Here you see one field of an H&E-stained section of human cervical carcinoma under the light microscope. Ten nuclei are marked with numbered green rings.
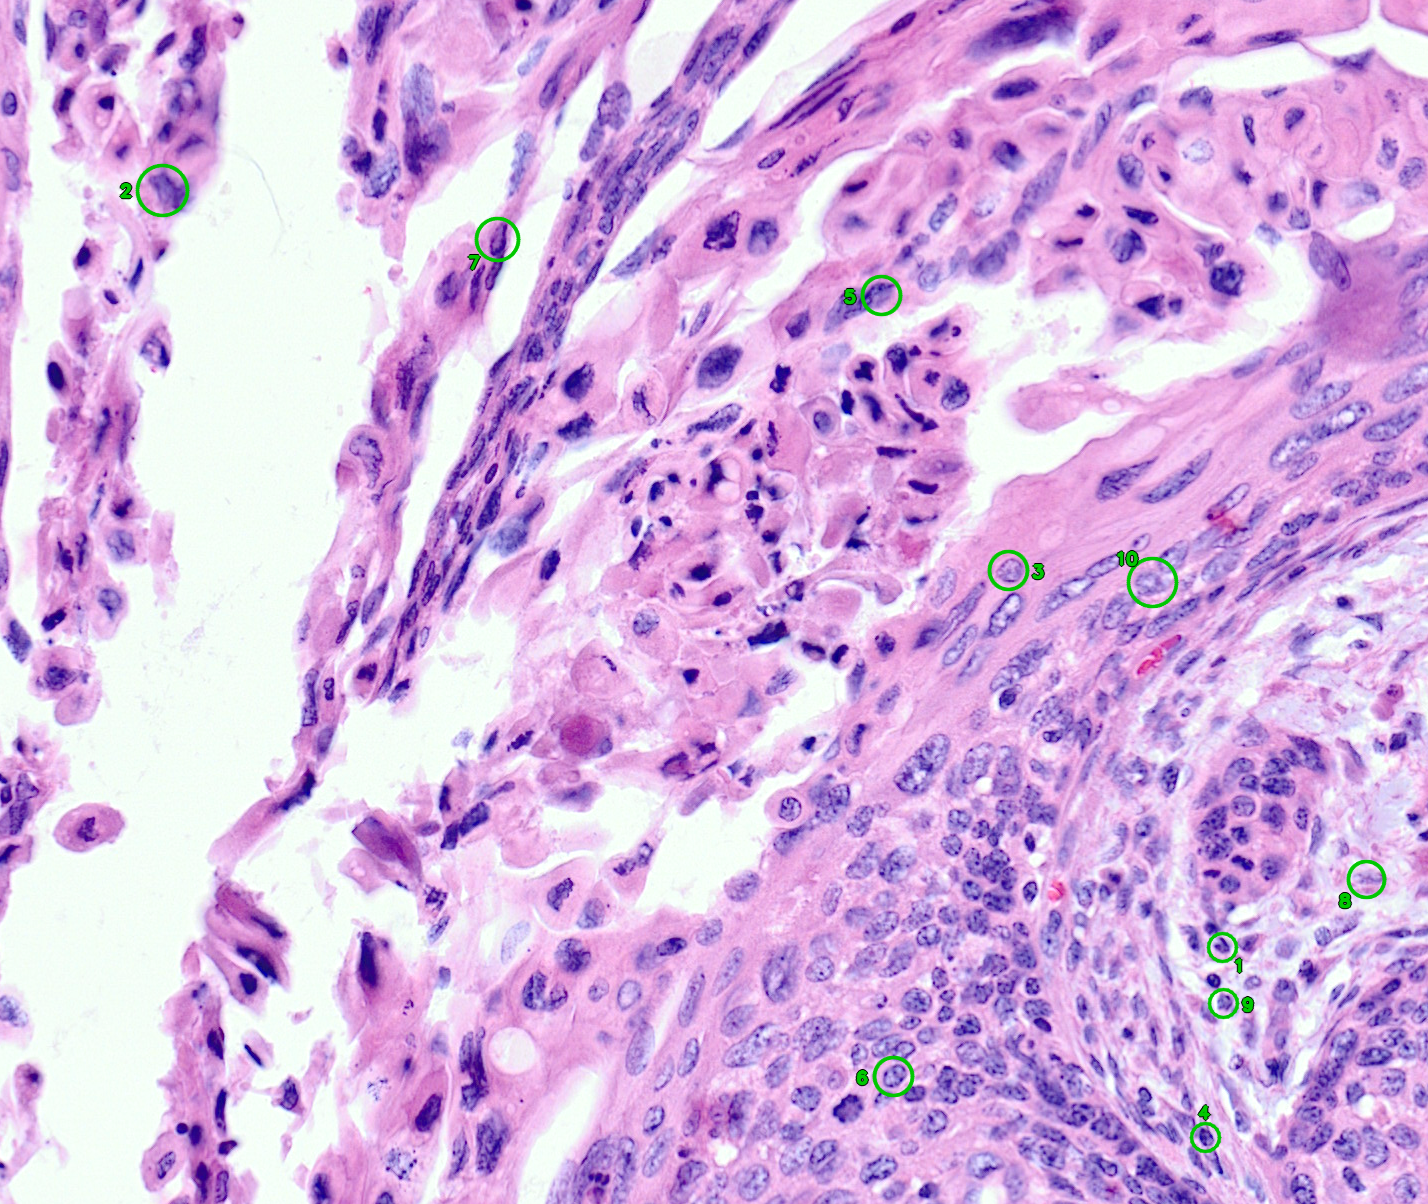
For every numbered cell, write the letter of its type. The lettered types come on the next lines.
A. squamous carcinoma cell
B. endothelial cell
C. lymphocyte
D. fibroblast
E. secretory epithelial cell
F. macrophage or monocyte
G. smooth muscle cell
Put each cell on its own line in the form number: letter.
1: C
2: A
3: A
4: C
5: A
6: A
7: A
8: D
9: C
10: A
